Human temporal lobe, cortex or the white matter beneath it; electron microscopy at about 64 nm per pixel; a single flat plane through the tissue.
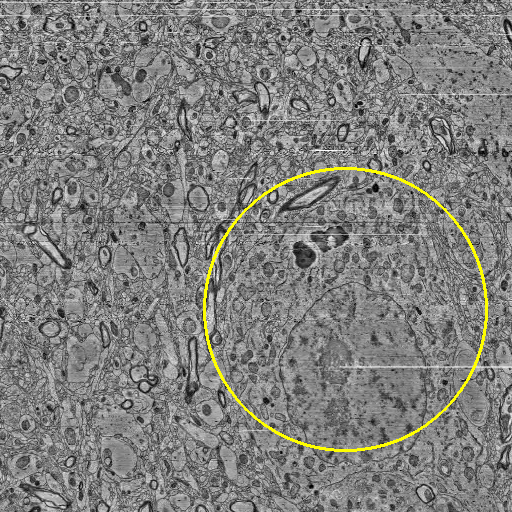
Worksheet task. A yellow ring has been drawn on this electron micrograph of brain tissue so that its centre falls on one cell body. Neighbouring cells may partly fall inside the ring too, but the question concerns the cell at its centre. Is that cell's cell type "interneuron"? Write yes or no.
yes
